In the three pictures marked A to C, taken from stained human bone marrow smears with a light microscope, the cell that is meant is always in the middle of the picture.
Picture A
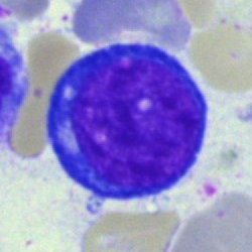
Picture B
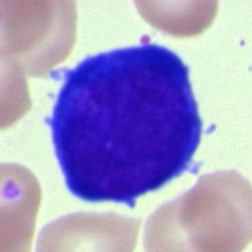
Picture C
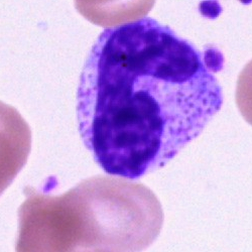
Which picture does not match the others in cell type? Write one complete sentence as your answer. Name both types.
Picture C differs, because its cell is a band neutrophil and the rest are proerythroblasts.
